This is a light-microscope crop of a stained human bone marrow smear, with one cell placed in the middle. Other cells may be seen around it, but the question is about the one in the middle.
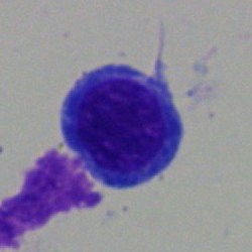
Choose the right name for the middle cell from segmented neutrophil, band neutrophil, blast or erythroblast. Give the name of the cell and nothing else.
erythroblast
